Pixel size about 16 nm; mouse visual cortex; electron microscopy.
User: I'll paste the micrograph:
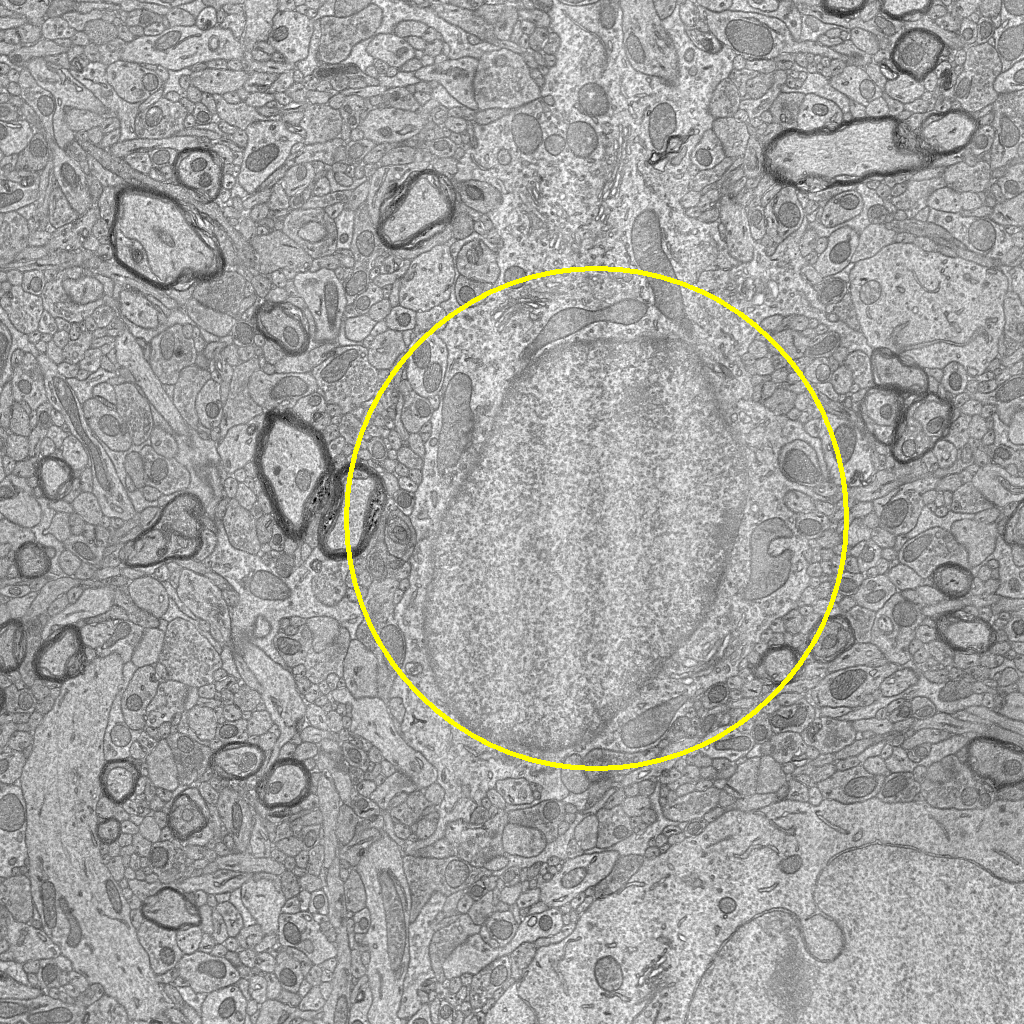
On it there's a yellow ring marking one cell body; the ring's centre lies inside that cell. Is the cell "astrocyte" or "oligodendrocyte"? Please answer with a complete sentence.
The cell at the centre of the yellow ring is an astrocyte.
